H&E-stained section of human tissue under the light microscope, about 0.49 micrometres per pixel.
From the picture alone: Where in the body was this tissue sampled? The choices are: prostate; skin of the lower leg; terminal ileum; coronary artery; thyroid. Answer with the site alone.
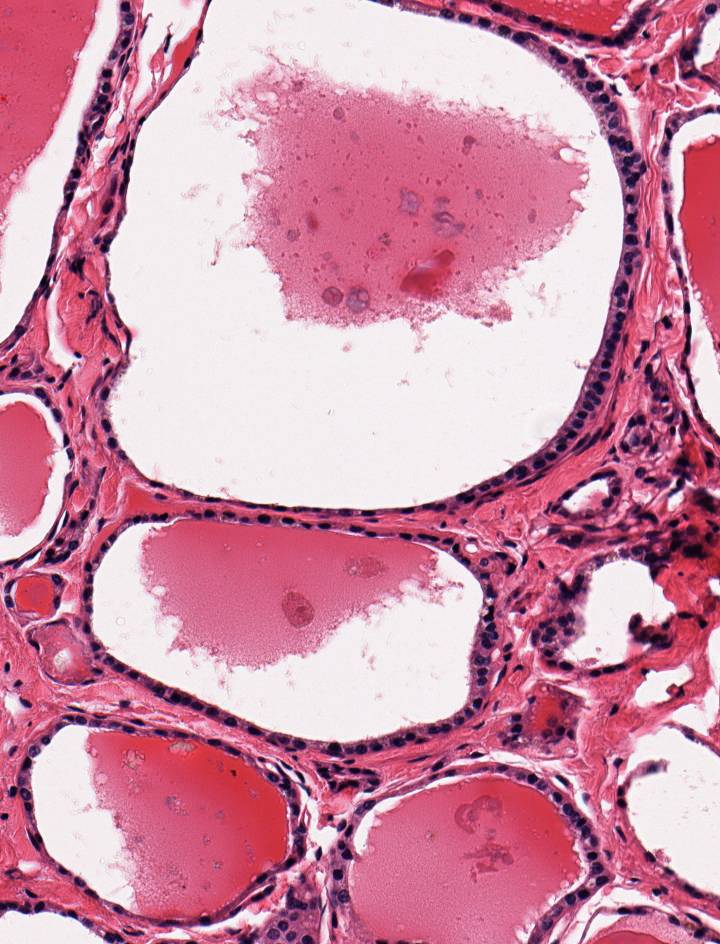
thyroid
